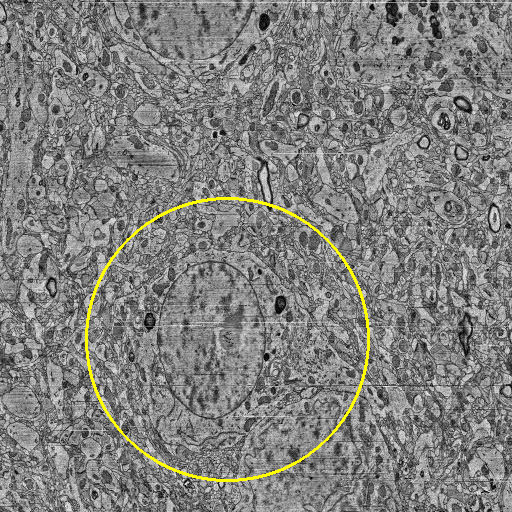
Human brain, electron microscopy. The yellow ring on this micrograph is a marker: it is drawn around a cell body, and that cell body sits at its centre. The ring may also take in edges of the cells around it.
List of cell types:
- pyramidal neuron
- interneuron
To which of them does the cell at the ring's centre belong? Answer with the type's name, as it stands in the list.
pyramidal neuron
